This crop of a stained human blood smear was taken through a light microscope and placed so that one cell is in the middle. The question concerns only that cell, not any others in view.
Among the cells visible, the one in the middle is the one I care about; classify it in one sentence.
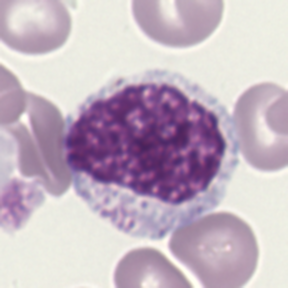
Framed in the middle of the crop is a myelocyte.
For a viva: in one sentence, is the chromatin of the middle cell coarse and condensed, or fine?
The chromatin of this one is coarsely clumped.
